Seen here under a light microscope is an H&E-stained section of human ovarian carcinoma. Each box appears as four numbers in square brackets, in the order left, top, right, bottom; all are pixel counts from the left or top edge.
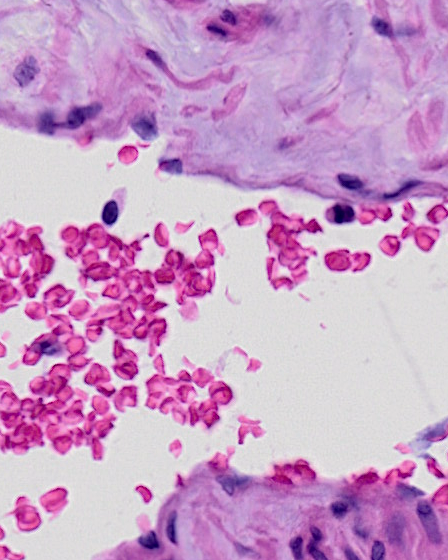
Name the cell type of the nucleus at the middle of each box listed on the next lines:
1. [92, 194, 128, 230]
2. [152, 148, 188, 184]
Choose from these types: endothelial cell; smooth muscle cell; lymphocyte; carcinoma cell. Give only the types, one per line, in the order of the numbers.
lymphocyte
endothelial cell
